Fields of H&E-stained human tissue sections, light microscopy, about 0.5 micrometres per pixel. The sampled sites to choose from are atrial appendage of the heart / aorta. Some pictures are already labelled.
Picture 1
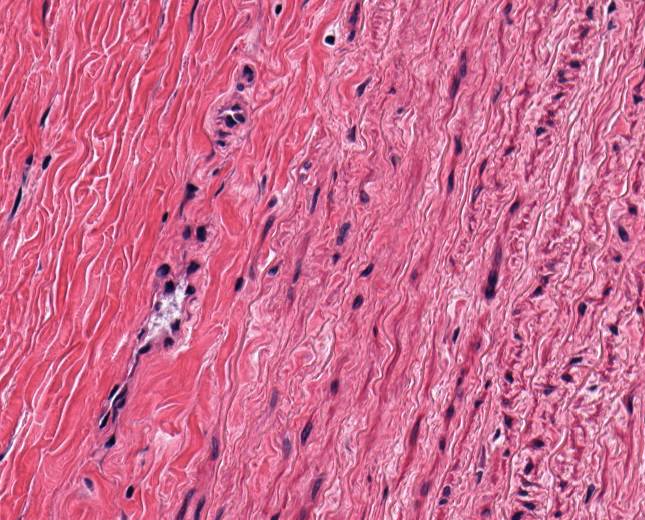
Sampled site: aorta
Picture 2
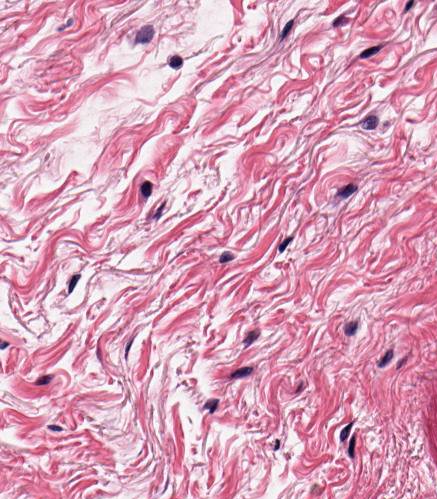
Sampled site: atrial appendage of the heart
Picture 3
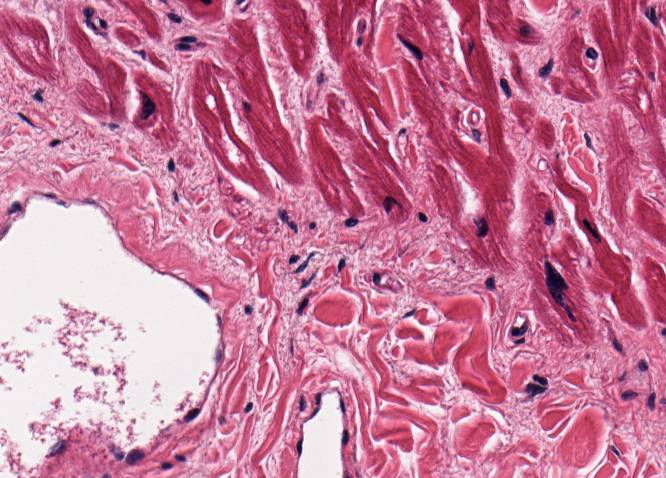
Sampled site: atrial appendage of the heart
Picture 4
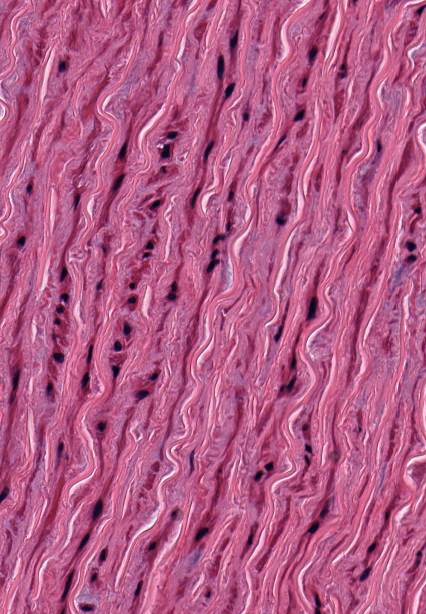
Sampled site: aorta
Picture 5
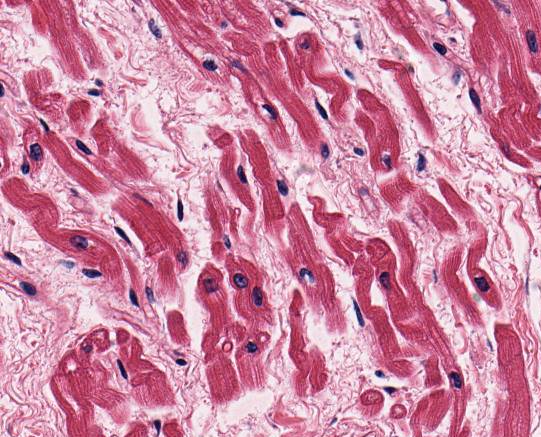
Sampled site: atrial appendage of the heart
